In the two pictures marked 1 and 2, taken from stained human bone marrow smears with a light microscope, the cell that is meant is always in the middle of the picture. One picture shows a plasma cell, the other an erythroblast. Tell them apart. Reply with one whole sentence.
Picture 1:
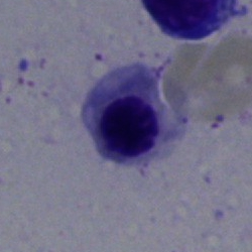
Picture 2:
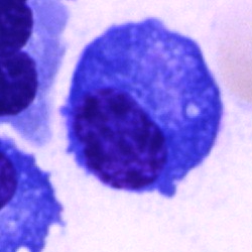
It is picture 1 that shows an erythroblast, and picture 2 that shows a plasma cell.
